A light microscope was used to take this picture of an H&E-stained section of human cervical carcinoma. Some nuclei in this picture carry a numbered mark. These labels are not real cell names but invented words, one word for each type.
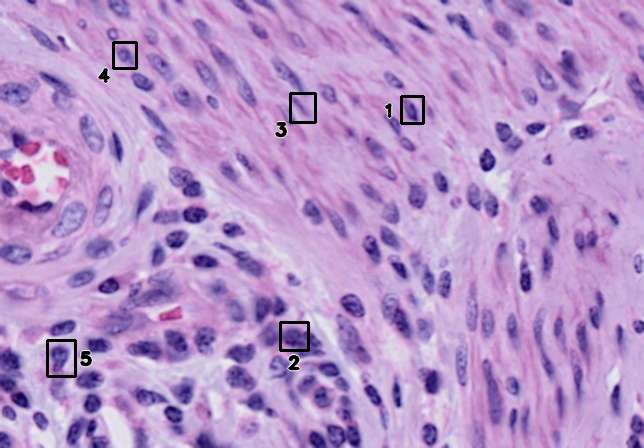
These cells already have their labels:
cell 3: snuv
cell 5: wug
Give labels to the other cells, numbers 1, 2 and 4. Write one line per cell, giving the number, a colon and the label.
1: snuv
2: wug
4: snuv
